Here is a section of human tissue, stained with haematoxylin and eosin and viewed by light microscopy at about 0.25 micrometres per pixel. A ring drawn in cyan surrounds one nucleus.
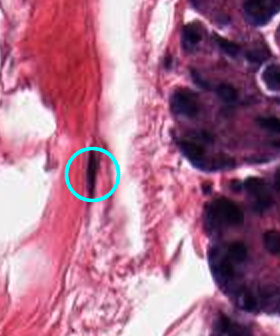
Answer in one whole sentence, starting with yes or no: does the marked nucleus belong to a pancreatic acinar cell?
No, the marked nucleus is not the nucleus of a pancreatic acinar cell but of a supporting cell.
